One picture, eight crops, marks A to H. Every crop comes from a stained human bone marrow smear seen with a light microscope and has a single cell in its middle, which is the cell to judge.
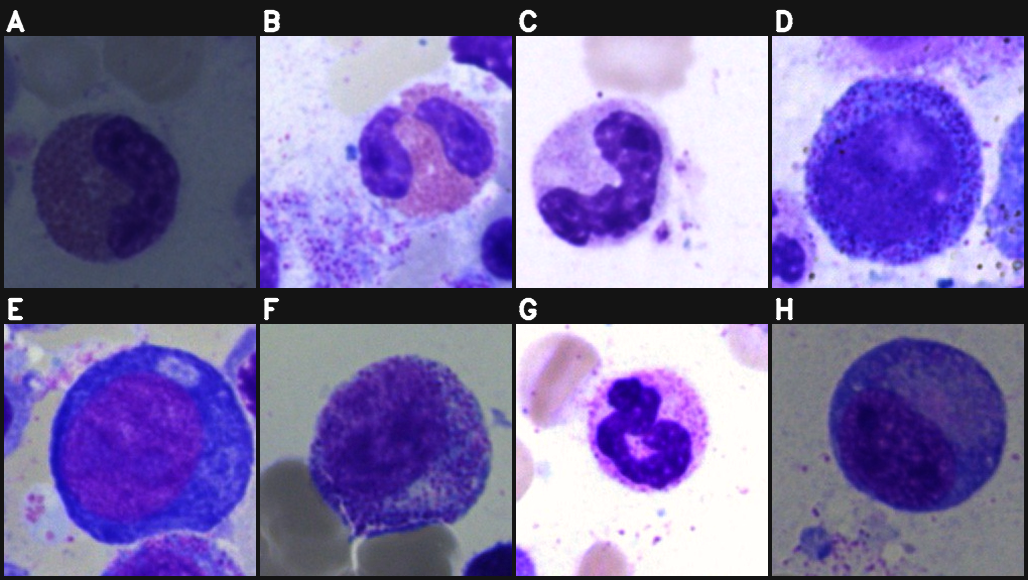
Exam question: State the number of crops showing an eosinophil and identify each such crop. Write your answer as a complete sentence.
In two crops, namely A and B, the cells shown are eosinophils.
